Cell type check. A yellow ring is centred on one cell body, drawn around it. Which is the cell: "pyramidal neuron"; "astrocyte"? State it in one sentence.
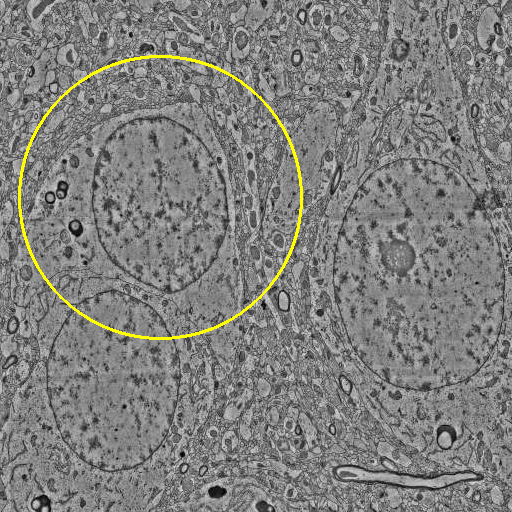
The cell body at the ring's centre belongs to a pyramidal neuron.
